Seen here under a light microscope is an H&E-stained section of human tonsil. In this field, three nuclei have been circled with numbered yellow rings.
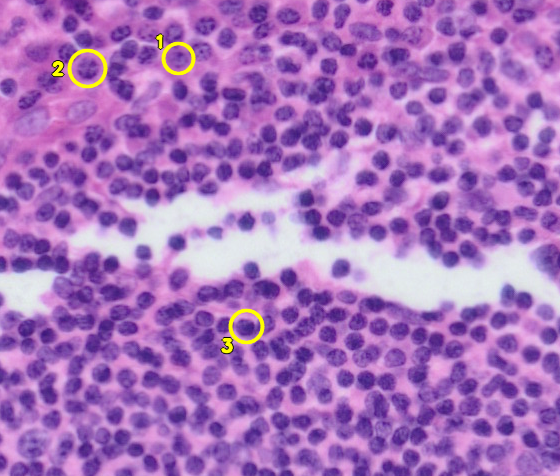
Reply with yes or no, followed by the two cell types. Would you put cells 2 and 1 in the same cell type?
Yes: cells 2 and 1 are both plasma cells.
